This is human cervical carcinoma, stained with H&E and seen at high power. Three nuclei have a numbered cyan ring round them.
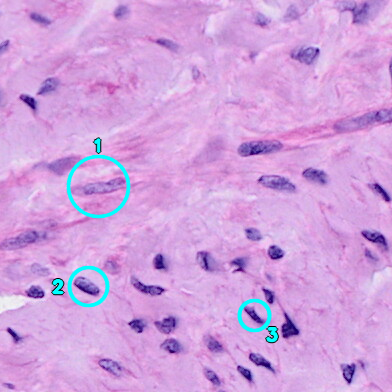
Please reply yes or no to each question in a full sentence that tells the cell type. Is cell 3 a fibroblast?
Yes, the cell identified by number 3 is a fibroblast.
